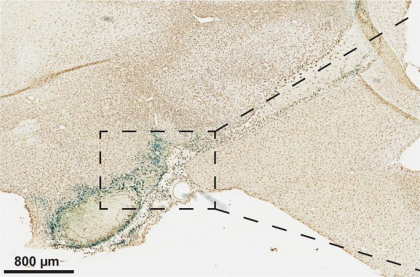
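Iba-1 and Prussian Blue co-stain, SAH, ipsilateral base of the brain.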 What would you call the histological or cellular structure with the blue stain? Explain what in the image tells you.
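Blood products. Blue granular deposits form a band around a rounded pale mass at the lower left of the section. The blue deposits lie at the edge of the tissue near the base, not throughout the section.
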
